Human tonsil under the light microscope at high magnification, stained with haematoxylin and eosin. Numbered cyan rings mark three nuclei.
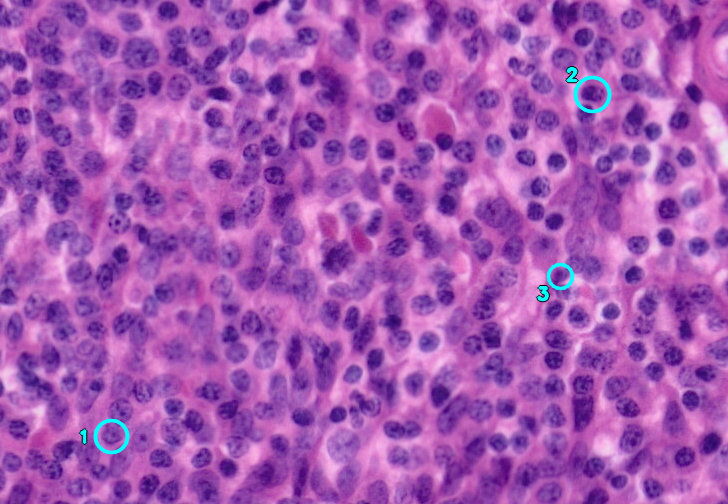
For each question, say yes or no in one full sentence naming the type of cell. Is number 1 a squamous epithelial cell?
No, cell number 1 is a plasma cell; it is not a squamous epithelial cell.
